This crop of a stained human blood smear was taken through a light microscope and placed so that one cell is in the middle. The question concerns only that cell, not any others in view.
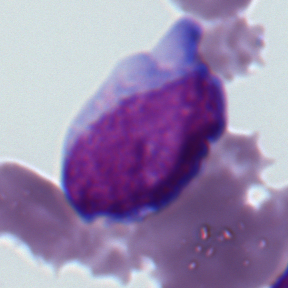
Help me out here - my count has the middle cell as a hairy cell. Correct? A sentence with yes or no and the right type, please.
No, the centrally located cell is a myeloblast rather than a hairy cell.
